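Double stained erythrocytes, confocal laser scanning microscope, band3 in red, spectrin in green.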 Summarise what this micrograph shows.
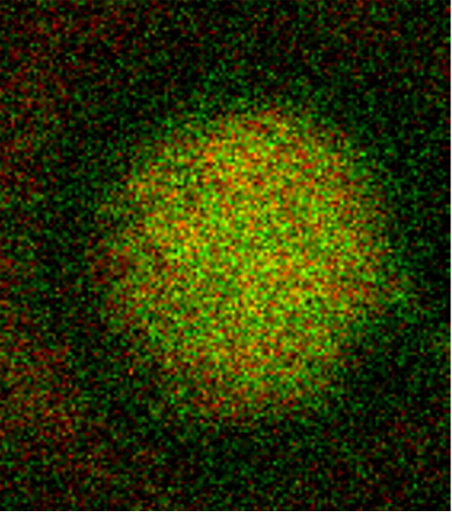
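A single rounded red blood cell is seen face-on against a dark background, its outline roughly circular to slightly oval. The green and red labels are spread in a fine, grainy pattern over the whole face of the cell. Where the two colours overlap the cell appears yellow-green, and no nucleus or other internal body is visible. The edge of the cell is soft and blends gradually into the surrounding darkness.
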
